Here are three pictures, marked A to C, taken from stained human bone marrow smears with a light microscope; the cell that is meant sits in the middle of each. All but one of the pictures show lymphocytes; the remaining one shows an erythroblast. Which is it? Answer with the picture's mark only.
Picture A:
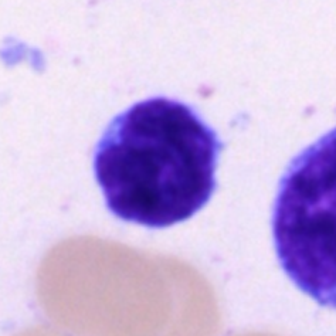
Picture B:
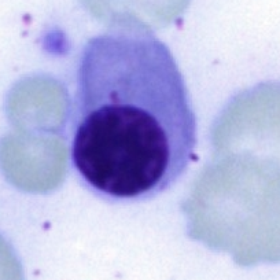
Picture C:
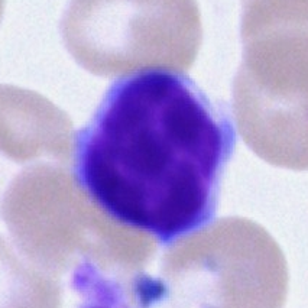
B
